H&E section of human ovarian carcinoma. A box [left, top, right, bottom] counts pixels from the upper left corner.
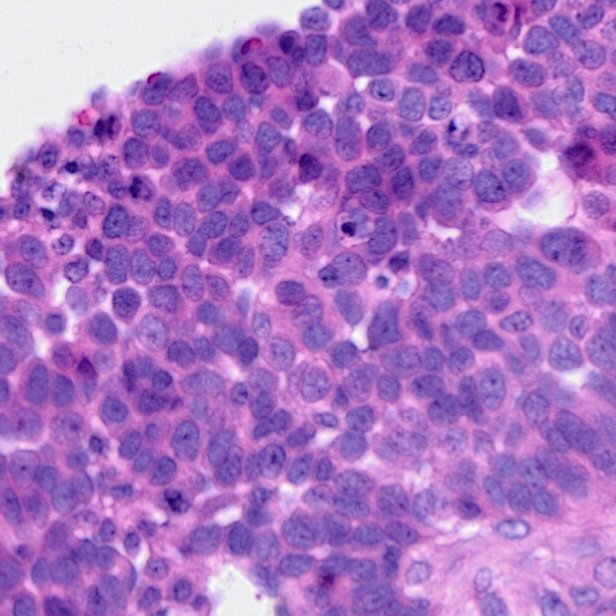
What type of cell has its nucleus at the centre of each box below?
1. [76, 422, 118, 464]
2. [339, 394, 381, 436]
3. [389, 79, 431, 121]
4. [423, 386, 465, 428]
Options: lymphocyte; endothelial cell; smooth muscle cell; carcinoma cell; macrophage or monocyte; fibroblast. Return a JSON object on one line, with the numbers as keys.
{"1": "macrophage or monocyte", "2": "carcinoma cell", "3": "carcinoma cell", "4": "carcinoma cell"}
